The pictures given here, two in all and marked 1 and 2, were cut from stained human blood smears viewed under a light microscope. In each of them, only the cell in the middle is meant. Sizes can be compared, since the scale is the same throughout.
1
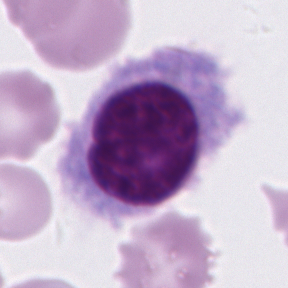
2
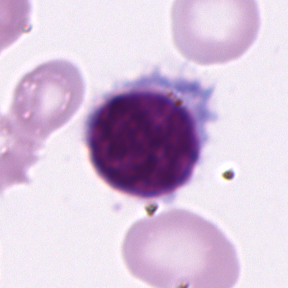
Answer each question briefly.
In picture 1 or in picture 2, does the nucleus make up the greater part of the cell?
2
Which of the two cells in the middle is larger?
1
